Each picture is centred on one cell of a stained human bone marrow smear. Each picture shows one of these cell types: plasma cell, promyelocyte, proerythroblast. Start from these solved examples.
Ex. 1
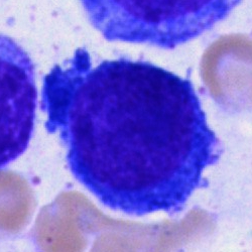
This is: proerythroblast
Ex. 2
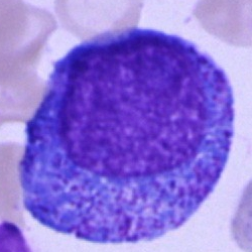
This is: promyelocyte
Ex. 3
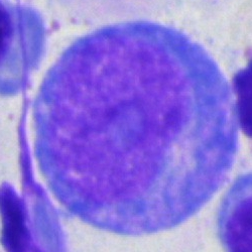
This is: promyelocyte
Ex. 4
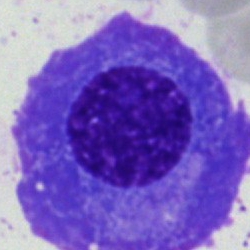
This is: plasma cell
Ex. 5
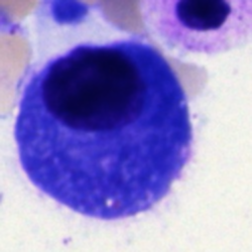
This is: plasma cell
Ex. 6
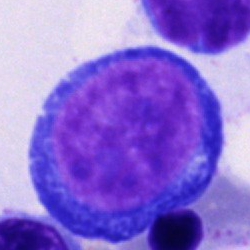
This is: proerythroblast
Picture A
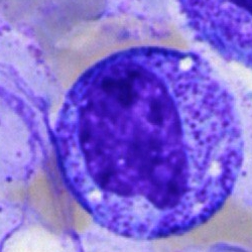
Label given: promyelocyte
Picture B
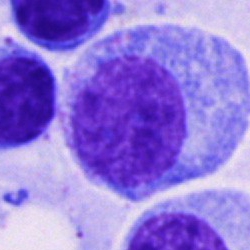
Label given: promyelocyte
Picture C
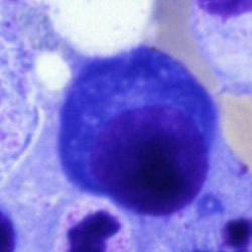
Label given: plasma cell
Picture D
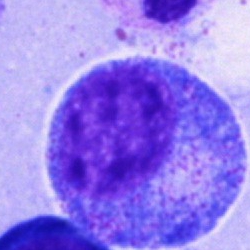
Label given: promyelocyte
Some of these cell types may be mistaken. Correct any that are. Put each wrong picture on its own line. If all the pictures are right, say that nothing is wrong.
Nothing to fix; every label fits.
